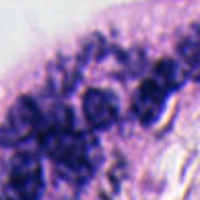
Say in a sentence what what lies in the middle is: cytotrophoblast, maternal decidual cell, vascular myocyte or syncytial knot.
This is a syncytial knot.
